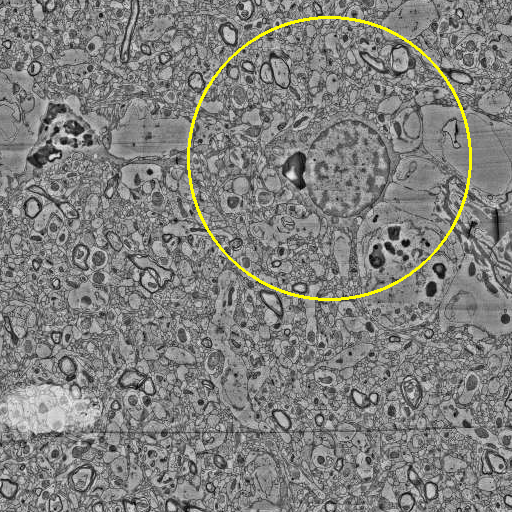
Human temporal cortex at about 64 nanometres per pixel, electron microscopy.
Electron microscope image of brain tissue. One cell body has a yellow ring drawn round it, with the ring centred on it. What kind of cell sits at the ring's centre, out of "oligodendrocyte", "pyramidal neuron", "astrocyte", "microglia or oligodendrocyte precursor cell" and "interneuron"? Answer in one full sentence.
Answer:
It is an oligodendrocyte whose cell body sits at the centre of the yellow ring.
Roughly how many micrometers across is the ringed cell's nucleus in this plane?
Roughly 6 micrometres across for the nucleus, in this plane.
